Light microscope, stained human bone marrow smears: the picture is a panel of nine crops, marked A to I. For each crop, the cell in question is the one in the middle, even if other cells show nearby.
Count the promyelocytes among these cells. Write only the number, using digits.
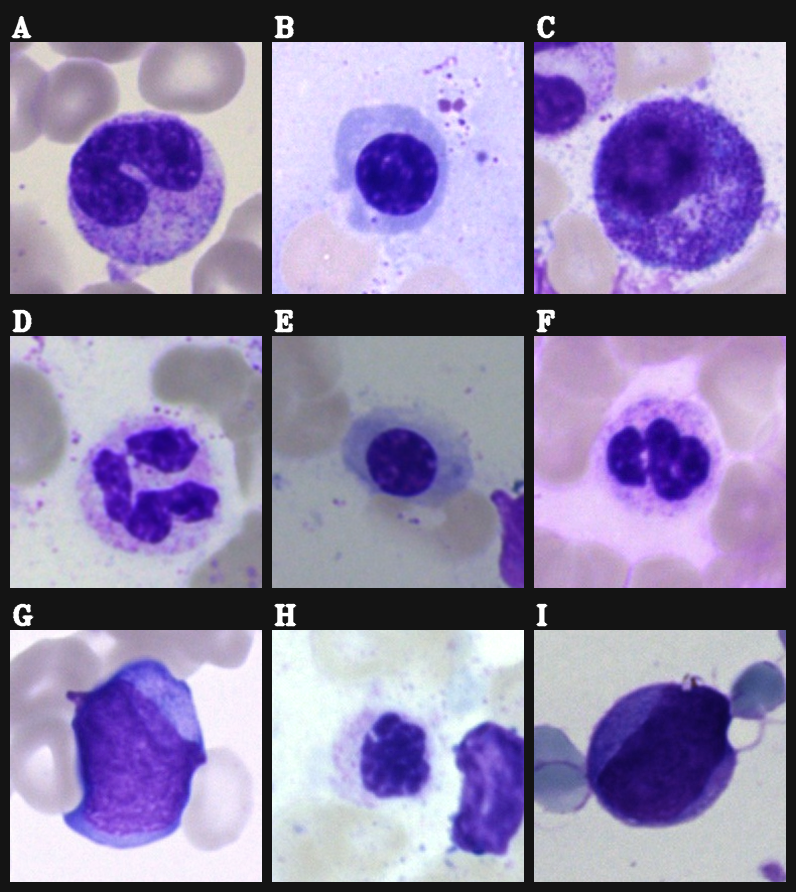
1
